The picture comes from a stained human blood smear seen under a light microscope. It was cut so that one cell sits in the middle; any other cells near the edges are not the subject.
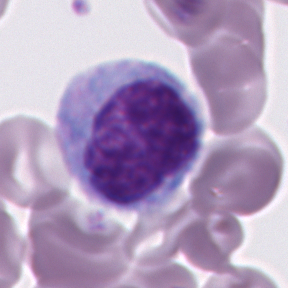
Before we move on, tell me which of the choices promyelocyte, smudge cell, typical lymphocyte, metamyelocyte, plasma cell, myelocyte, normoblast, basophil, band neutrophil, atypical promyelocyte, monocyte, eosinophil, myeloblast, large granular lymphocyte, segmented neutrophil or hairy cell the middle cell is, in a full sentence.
The central cell, amid any neighbouring cells, is a monocyte.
